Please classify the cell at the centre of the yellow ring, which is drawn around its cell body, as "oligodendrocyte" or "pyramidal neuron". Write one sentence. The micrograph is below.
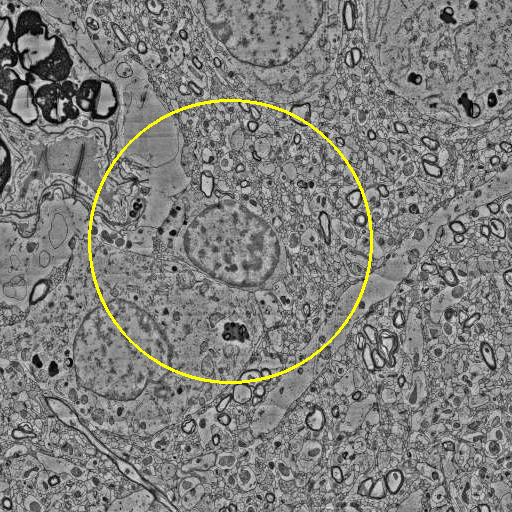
The cell at the ring's centre is classified as an oligodendrocyte.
